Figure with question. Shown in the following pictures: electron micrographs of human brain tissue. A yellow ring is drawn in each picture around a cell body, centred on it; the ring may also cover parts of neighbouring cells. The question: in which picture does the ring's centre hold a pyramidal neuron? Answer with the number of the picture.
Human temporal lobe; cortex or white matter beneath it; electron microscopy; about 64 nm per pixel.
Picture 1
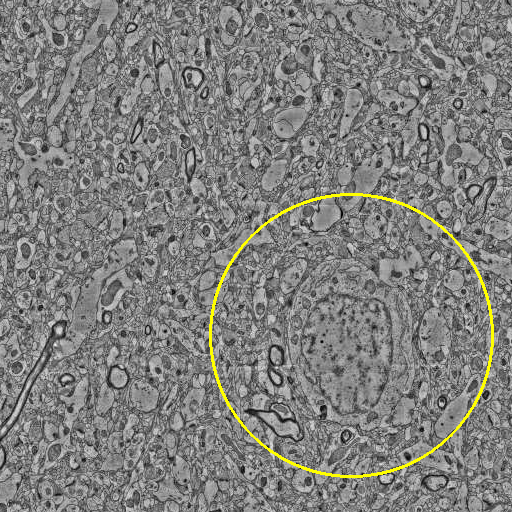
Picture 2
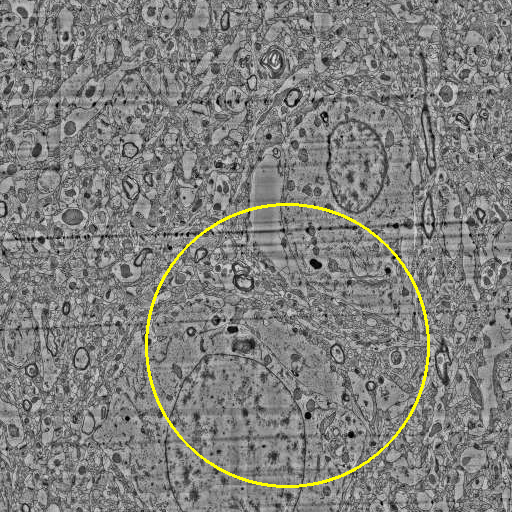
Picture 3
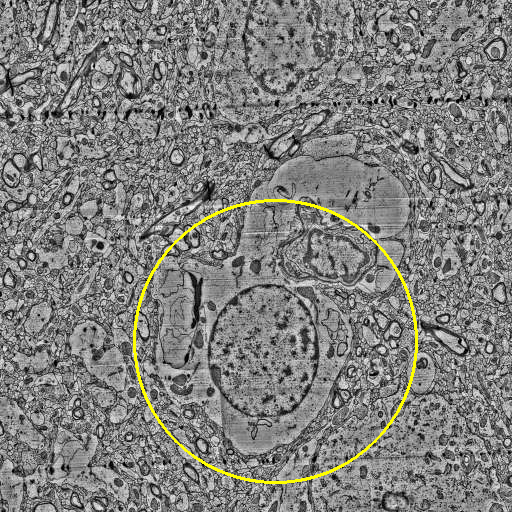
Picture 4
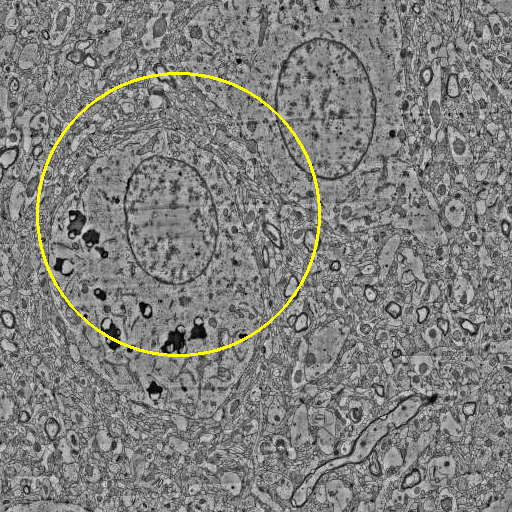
4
